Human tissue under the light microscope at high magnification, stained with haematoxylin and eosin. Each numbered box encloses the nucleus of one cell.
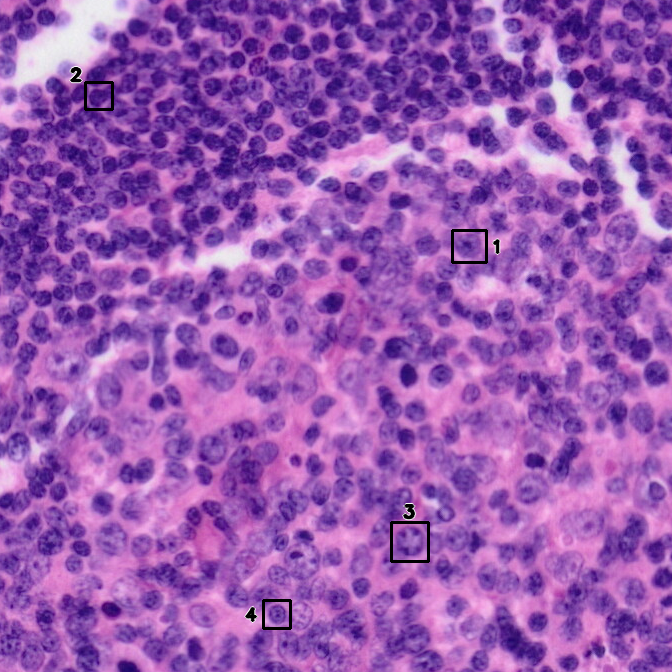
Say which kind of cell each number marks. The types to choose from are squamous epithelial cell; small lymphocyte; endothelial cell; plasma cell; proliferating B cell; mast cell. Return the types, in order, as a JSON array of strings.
["proliferating B cell", "small lymphocyte", "proliferating B cell", "proliferating B cell"]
